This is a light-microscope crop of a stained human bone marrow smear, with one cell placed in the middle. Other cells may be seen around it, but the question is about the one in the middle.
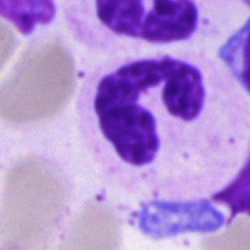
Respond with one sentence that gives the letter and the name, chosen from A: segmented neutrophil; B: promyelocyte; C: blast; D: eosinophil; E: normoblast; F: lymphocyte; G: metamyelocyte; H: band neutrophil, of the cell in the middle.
Here the right option is A, as the cell in the middle is a segmented neutrophil.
